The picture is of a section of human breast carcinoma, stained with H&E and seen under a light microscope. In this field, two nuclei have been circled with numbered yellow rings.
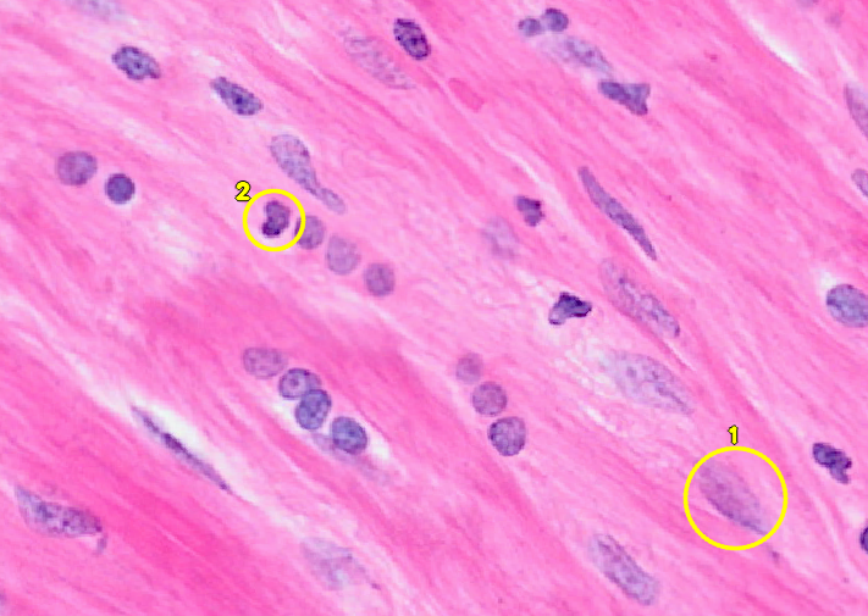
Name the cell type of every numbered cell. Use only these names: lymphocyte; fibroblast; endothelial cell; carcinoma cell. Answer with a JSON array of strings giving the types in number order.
["fibroblast", "lymphocyte"]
